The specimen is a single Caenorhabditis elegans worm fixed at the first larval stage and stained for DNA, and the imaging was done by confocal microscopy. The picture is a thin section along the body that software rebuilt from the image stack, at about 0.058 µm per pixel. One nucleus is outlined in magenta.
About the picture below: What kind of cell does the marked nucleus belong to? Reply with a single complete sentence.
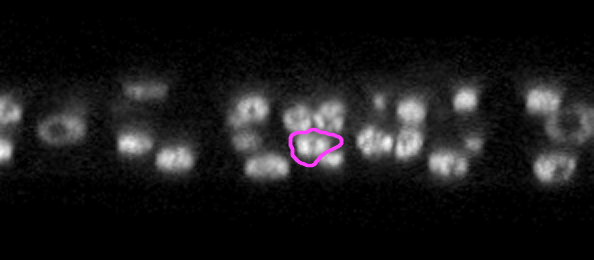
The marked nucleus is that of a body wall muscle cell.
